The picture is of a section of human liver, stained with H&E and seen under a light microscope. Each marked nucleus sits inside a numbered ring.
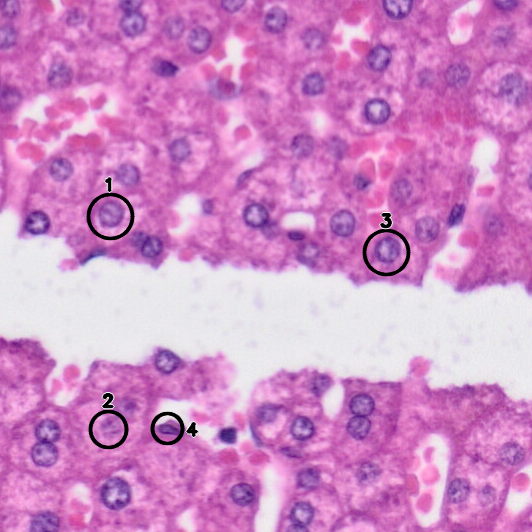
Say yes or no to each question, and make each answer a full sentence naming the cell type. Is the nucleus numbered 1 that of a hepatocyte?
Yes, cell number 1 is classified as a hepatocyte.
